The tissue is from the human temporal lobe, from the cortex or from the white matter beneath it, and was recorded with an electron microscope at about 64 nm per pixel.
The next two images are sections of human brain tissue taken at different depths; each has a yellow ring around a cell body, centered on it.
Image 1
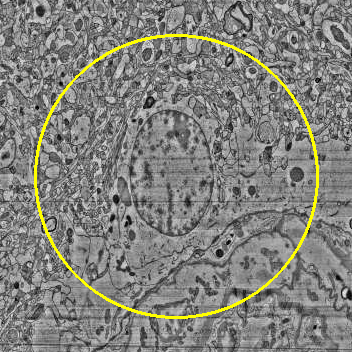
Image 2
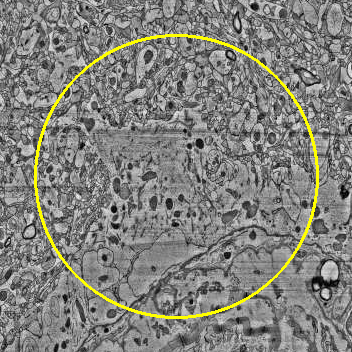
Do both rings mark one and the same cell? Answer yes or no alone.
yes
